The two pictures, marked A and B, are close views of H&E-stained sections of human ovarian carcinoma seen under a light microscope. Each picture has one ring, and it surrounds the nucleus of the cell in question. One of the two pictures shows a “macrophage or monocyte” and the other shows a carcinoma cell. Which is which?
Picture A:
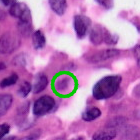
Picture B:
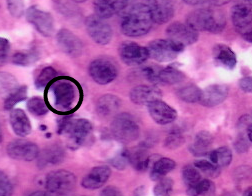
A: macrophage or monocyte
B: carcinoma cell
